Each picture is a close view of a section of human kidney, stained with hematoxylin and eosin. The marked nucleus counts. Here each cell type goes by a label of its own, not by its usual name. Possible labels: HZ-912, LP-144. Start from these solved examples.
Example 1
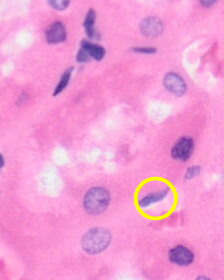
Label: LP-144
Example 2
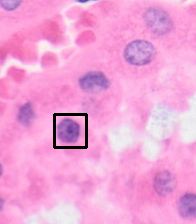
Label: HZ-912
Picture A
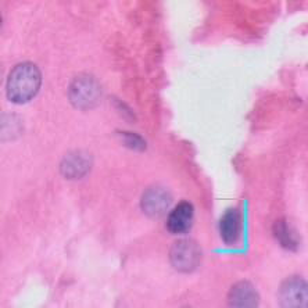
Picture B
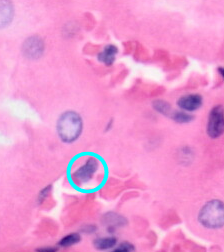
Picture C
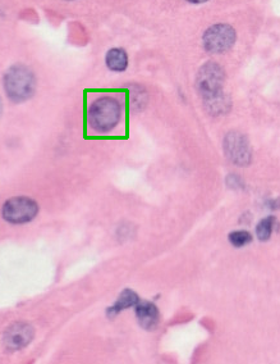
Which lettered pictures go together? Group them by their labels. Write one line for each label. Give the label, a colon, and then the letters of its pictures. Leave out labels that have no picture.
HZ-912: C
LP-144: A, B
